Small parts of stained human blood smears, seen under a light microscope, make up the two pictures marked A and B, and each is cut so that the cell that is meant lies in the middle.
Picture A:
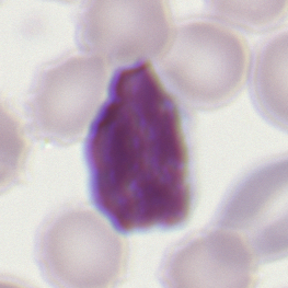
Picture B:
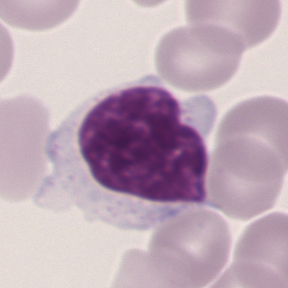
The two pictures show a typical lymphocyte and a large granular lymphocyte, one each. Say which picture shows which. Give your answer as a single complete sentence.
Picture B shows a large granular lymphocyte, while picture A shows a typical lymphocyte.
